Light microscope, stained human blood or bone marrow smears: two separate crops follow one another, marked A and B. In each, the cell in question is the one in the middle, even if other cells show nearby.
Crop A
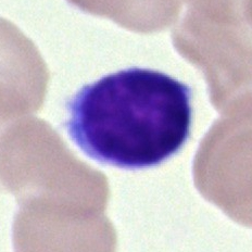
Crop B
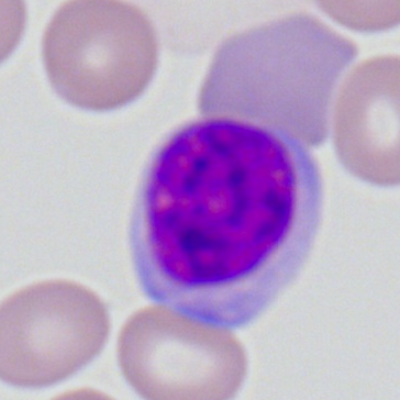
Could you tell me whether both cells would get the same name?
yes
